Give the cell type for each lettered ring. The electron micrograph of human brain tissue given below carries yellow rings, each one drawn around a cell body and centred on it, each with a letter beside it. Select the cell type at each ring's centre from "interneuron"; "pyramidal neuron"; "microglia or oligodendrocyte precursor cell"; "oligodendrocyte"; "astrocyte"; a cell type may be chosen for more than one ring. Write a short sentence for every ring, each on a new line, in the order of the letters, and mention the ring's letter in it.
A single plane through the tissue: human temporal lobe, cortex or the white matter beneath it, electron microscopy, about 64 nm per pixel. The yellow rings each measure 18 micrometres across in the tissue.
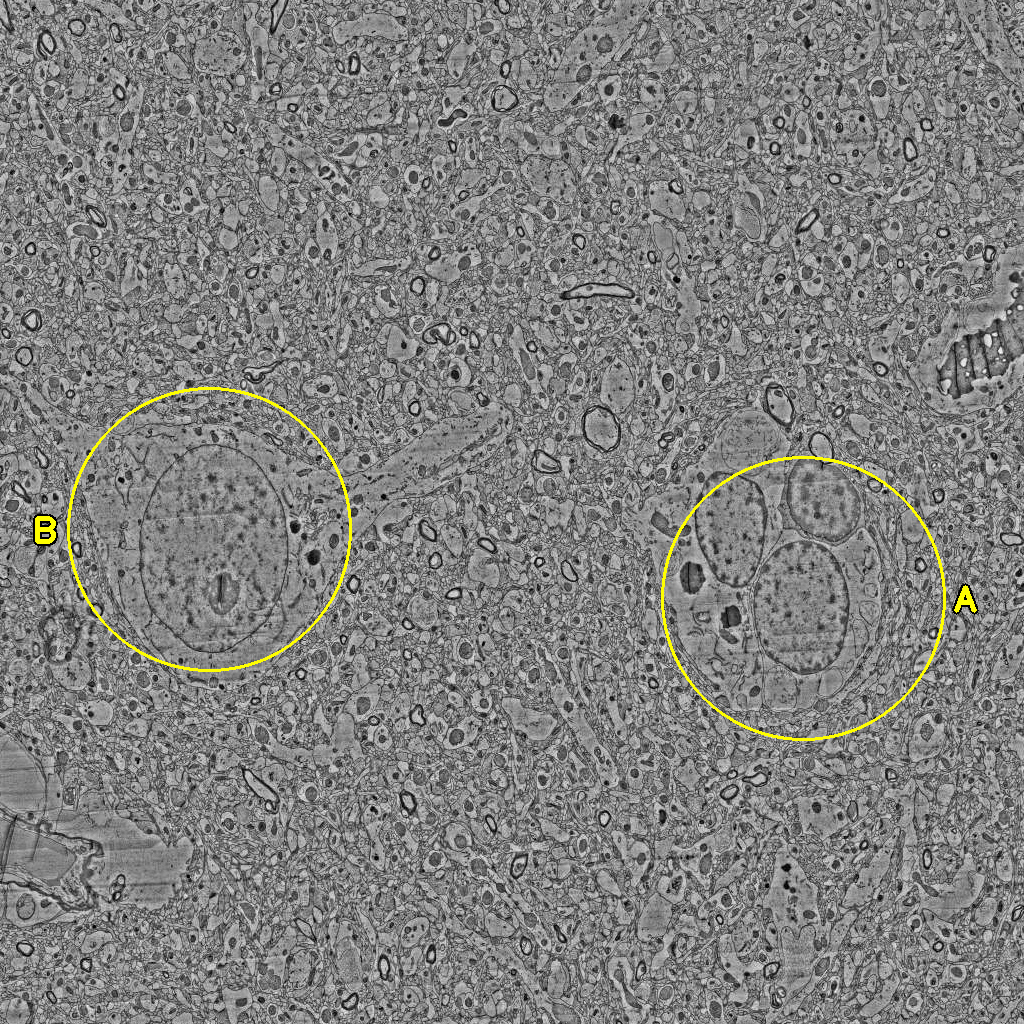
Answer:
The cell type for ring A is an astrocyte.
The cell type for ring B is a pyramidal neuron.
